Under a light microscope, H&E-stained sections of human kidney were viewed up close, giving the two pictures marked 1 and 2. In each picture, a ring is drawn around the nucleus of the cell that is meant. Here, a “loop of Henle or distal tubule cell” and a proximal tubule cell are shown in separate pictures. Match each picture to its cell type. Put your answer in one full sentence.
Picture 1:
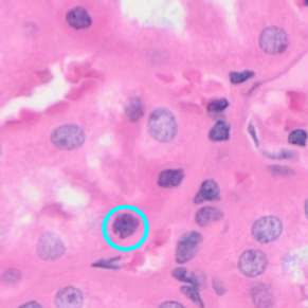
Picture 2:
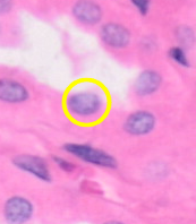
Picture 2 shows a “loop of Henle or distal tubule cell”, while picture 1 shows a proximal tubule cell.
